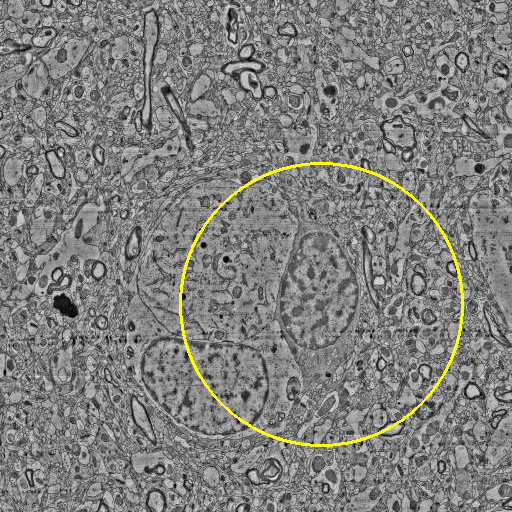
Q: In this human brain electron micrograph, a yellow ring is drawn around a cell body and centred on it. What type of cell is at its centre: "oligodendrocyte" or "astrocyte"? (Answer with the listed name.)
oligodendrocyte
